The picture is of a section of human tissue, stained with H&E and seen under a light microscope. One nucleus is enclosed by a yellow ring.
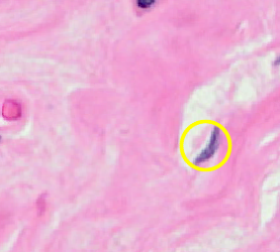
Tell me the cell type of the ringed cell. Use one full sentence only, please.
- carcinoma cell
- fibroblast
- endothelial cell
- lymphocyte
Students should answer that the ringed cell is a fibroblast.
